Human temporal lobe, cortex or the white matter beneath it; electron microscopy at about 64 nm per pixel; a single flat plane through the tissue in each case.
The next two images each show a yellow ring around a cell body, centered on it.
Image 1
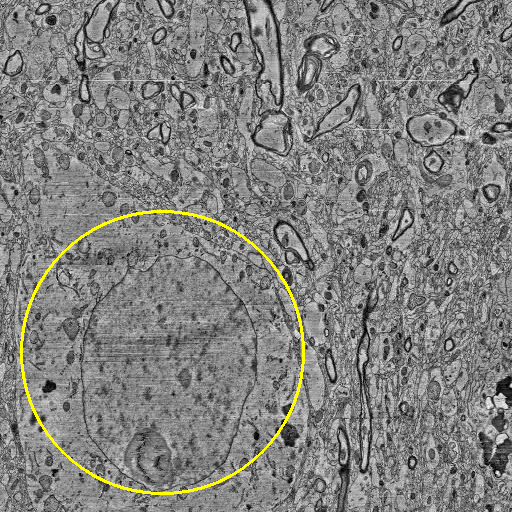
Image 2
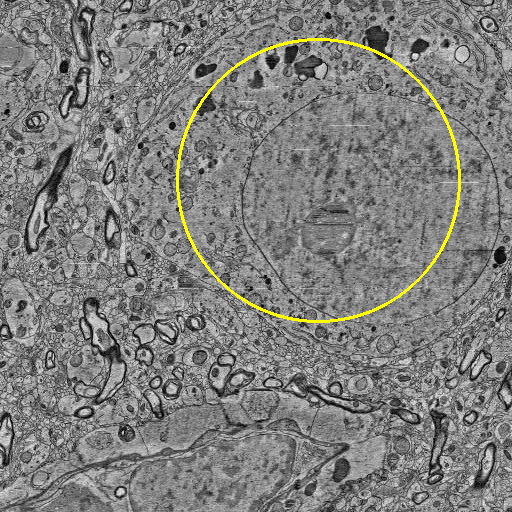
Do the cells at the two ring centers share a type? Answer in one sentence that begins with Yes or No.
Yes, across the two images the cells at the ring centers share one type.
